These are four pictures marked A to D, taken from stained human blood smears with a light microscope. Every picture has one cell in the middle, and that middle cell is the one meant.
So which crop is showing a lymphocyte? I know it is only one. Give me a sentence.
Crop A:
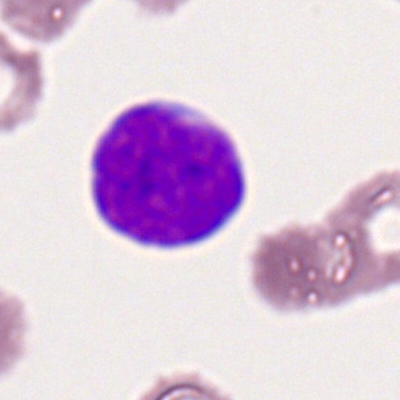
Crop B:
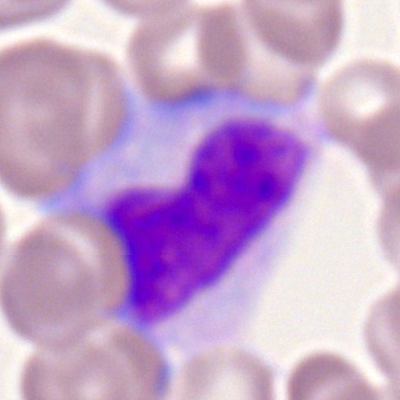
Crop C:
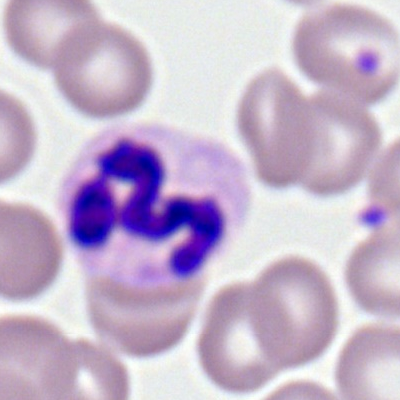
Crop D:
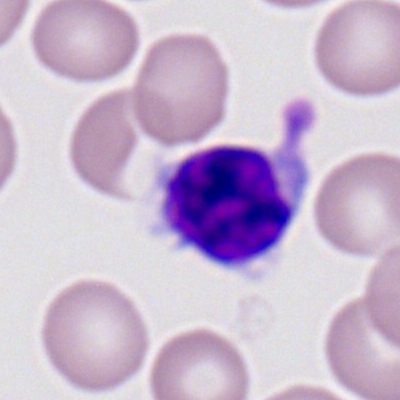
The crop marked D is the one in which a lymphocyte is shown.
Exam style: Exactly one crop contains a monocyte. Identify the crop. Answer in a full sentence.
It is crop B that shows a monocyte.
